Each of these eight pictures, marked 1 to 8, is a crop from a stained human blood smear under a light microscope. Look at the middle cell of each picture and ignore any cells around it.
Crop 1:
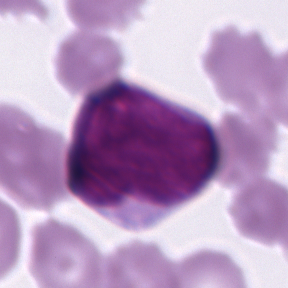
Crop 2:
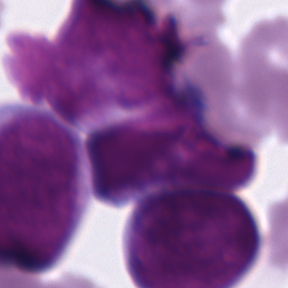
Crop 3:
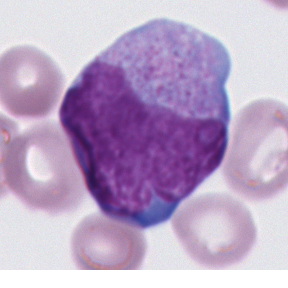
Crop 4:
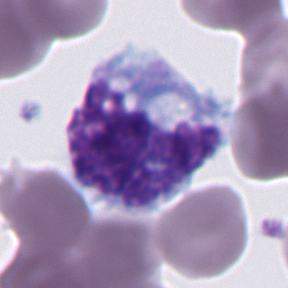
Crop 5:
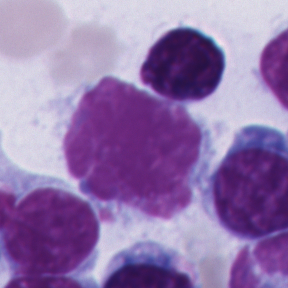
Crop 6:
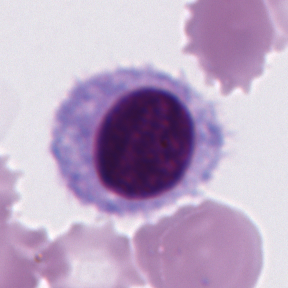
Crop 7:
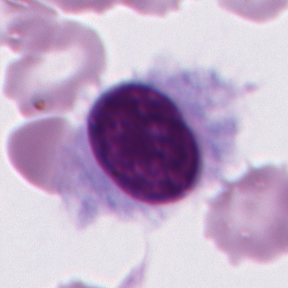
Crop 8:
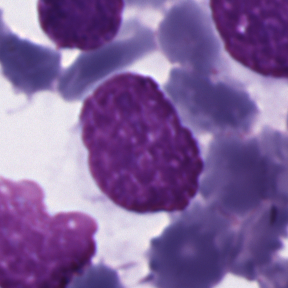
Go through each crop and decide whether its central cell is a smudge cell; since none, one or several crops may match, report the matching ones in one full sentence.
Only crop 8 shows a smudge cell; none of the others do.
